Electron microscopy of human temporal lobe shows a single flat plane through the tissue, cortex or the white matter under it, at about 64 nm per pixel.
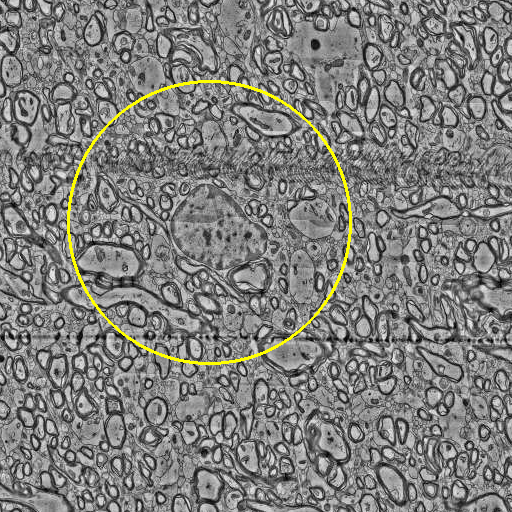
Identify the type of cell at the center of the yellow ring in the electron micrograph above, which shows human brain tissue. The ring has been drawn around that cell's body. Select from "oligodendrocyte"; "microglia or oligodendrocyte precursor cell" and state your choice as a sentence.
The yellow ring is centered on the body of a microglial cell or oligodendrocyte precursor cell.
